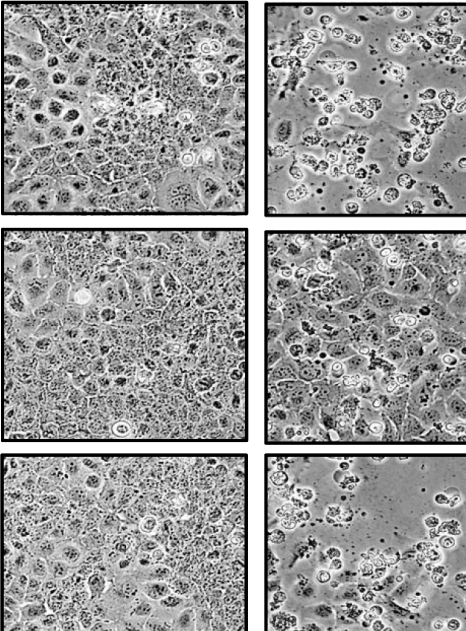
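Cultured cells are seen in unstained phase contrast in six fields arranged as three rows and two columns. In the upper and lower right-hand fields the layer is broken up: much empty background lies between scattered cells, many of which are rounded, shrunken, bright-edged and detached, in small clumps. The middle right-hand field keeps a largely intact, fairly confluent layer of flattened cells, with only a few rounded ones.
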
